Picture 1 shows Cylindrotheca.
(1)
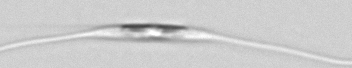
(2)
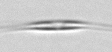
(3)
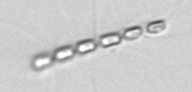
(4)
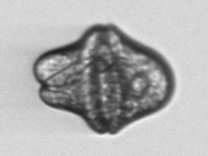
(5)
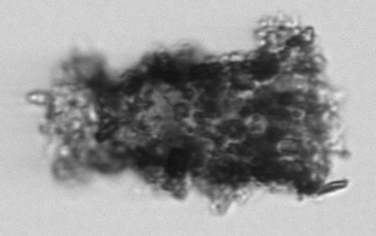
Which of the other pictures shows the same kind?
Picture 2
